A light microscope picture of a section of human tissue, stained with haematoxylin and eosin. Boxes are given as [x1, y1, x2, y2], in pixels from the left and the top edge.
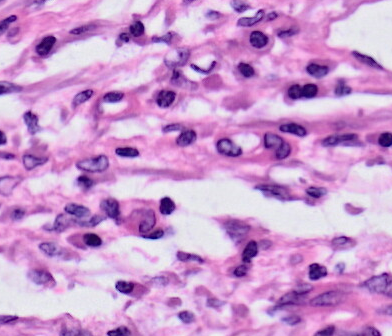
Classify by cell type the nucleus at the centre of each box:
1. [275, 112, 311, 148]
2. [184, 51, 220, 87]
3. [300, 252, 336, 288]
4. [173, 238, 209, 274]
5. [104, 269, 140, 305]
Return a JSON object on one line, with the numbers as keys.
{"1": "plasma cell", "2": "fibroblast or myofibroblast", "3": "lymphocyte", "4": "fibroblast or myofibroblast", "5": "plasma cell"}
